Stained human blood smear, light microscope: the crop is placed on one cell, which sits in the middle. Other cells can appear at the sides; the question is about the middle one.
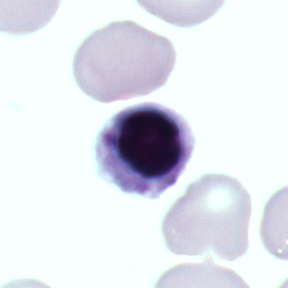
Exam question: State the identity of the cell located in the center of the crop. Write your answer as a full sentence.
The cell centred in this crop is categorized as a normoblast.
